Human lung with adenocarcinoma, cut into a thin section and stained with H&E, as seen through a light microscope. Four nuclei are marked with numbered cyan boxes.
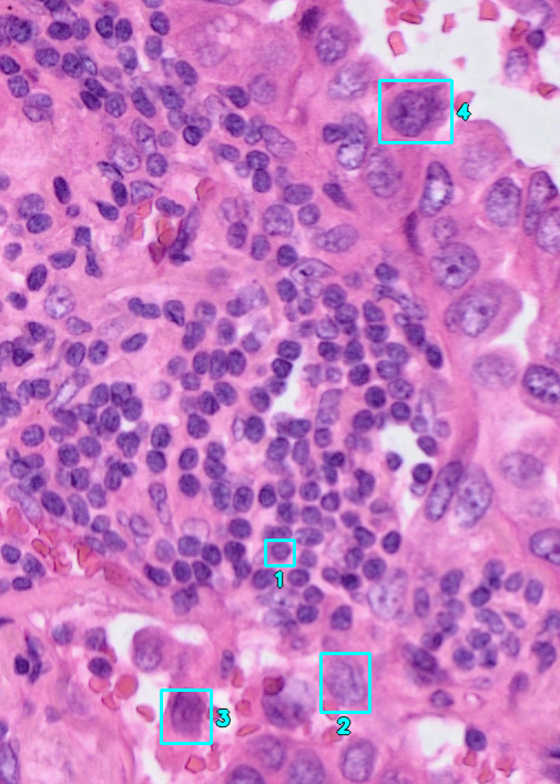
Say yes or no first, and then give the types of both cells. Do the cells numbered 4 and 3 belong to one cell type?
Yes, for cells 4 and 3 alike, the identity is that of carcinoma cells.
